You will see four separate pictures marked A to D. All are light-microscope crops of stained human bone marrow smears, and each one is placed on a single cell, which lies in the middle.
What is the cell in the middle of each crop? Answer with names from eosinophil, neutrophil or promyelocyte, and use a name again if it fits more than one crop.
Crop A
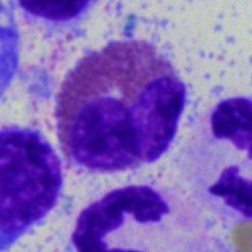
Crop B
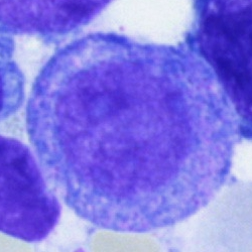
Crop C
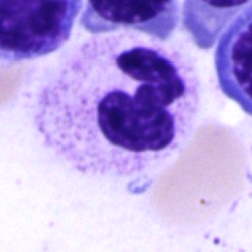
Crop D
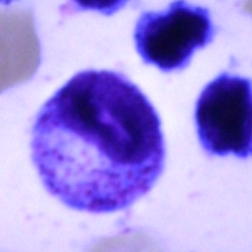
A: eosinophil
B: promyelocyte
C: neutrophil
D: promyelocyte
